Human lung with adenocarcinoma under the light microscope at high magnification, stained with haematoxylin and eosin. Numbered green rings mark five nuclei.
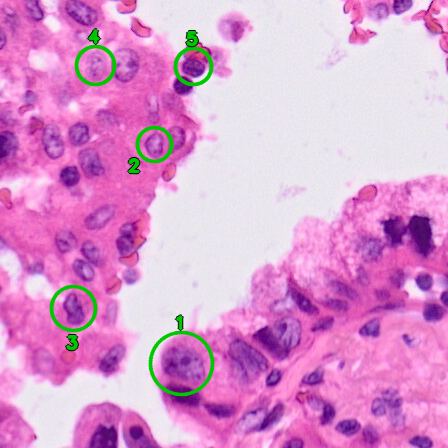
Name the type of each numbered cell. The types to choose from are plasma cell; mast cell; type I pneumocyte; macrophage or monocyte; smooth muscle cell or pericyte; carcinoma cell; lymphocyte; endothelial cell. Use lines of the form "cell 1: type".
cell 1: carcinoma cell
cell 2: macrophage or monocyte
cell 3: macrophage or monocyte
cell 4: macrophage or monocyte
cell 5: lymphocyte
